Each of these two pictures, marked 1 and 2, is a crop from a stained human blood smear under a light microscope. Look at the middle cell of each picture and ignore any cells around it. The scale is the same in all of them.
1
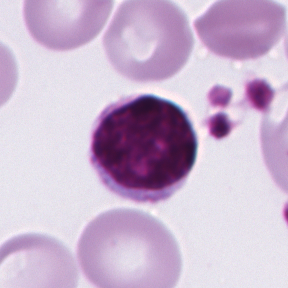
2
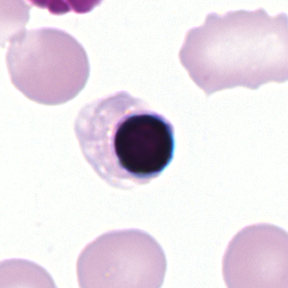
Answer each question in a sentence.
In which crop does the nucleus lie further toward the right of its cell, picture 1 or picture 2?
The nucleus in picture 2 lies further toward the right of its cell.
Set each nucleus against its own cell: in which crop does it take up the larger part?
Of the two, the nucleus in picture 1 makes up the greater part of its cell.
